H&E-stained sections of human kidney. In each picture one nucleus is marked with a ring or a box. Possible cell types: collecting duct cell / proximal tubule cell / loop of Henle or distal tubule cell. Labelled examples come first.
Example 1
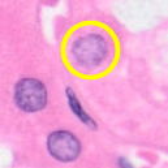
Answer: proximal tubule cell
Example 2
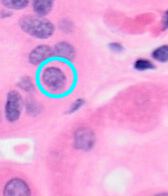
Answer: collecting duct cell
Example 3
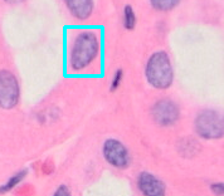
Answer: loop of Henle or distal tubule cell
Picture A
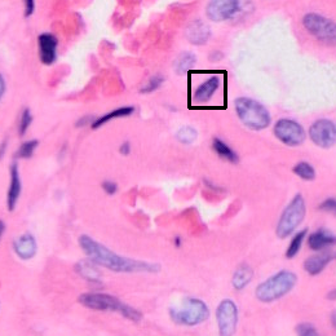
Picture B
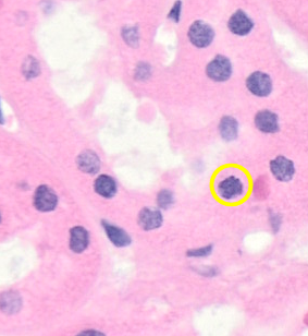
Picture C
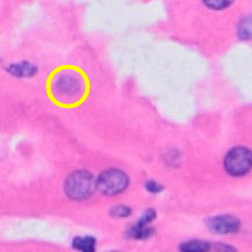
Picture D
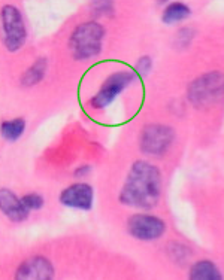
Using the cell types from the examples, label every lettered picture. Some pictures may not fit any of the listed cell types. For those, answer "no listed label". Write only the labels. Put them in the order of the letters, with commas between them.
collecting duct cell, loop of Henle or distal tubule cell, proximal tubule cell, no listed label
